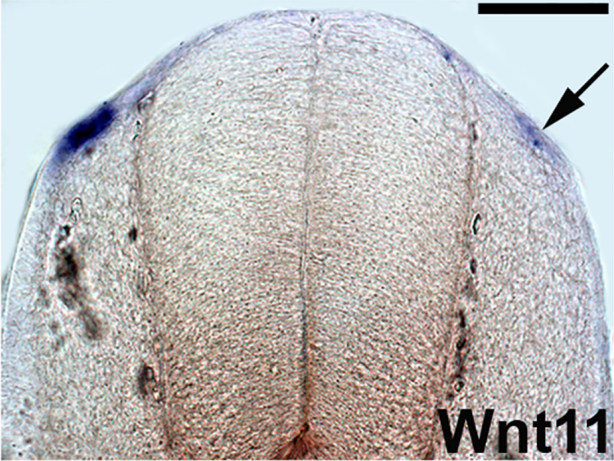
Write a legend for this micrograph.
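On the left, at the upper outer edge, lies a compact dark blue-purple patch of stain. On the right side, where the arrow points, only a faint, small bluish patch is seen at the corresponding position. Darker brownish streaks run down along the left side of the tube.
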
